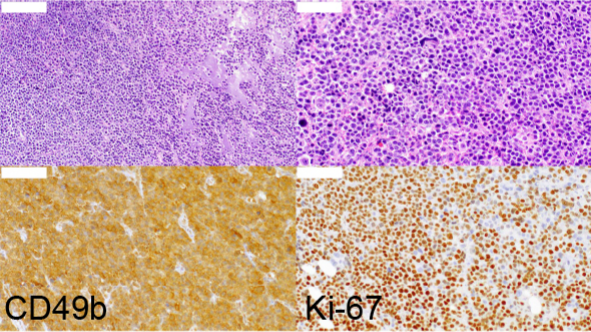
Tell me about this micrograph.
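A solid sheet of densely packed, rounded tumor cells fills the pink-and-purple stained sections, with dark purple nuclei crowded together and very little cytoplasm between them. At low power a paler pink area lies at one side of the cellular sheet. In the first brown-stained section nearly every tumor cell is diffusely brown, and in the second most nuclei are brown with only scattered blue ones. This is a highly cellular tumor with diffuse staining and most nuclei marked.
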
